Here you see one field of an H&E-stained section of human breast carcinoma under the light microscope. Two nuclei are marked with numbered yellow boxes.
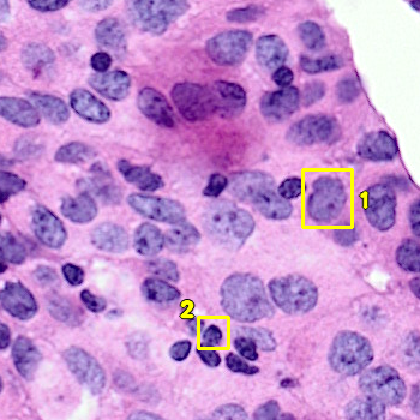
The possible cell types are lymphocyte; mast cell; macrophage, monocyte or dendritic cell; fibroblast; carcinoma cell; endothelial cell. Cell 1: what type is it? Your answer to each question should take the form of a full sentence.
Within this field of view, the cell labelled 1 is a carcinoma cell.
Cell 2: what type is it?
Among the marked cells, number 2 is a lymphocyte.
